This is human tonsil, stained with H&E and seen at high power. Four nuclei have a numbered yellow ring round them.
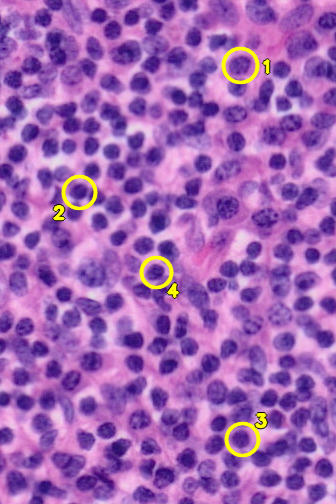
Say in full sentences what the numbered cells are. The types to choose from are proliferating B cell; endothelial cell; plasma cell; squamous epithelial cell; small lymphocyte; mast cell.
Cell 1 is a plasma cell. Cells 2, 3 and 4 are small lymphocytes.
